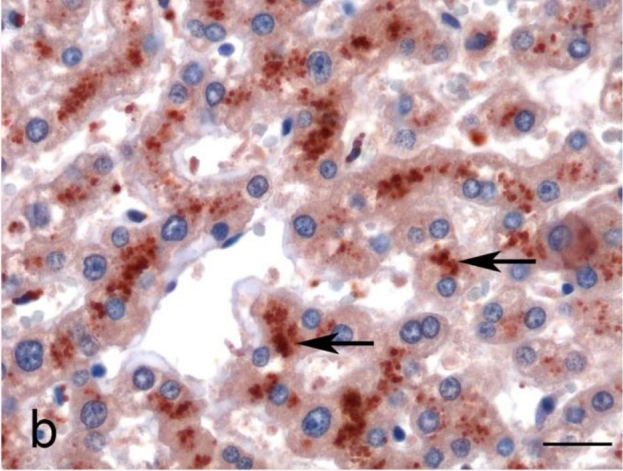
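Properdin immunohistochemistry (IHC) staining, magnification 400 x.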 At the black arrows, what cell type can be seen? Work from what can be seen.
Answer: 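Hepatocytes. Large polygonal cells with round central nuclei and prominent nucleoli. Cells arranged in cords separated by sinusoidal spaces. Coarse brown granules in the cytoplasm of the arrowed cells.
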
